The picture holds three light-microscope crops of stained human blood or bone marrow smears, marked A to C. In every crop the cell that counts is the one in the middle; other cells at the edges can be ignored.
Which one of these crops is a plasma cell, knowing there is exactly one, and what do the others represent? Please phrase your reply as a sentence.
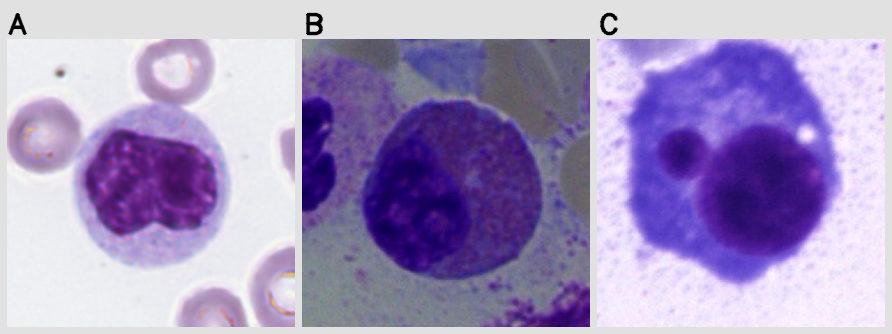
Seen in crop C is a plasma cell, while crop A is a metamyelocyte and crop B is an eosinophil.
